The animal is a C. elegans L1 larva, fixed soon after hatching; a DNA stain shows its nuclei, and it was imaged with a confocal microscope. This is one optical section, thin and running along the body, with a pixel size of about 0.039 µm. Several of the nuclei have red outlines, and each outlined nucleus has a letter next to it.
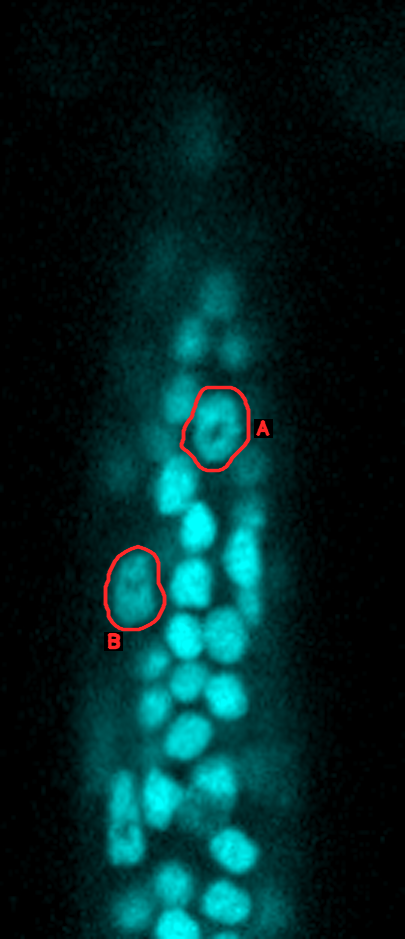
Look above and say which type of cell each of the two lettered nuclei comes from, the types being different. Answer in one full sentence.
B belongs to a body wall muscle cell, and A to a seam cell.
